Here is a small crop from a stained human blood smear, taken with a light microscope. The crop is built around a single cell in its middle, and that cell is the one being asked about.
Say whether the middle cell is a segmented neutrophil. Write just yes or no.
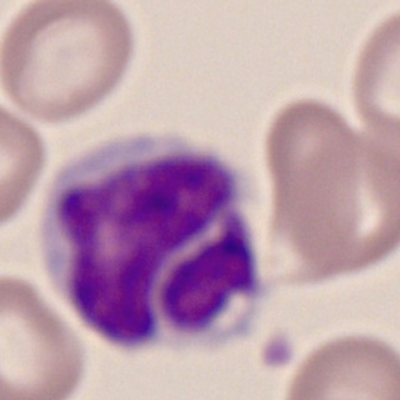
no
